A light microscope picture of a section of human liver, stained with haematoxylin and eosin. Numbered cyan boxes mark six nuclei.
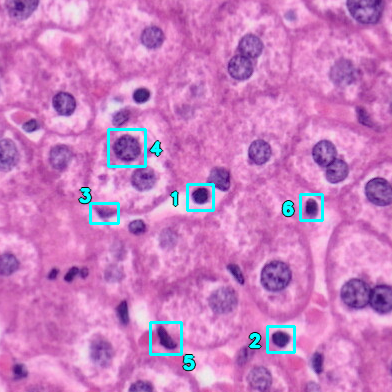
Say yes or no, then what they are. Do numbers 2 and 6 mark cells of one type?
Yes, going by number, cells 2 and 6 are both lymphocytes.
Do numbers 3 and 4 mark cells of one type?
No, cell 3 is an endothelial cell, whereas cell 4, for its part, is a hepatocyte.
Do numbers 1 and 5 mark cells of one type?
No, cell 1 is a lymphocyte, and as for cell 5, it is an endothelial cell.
